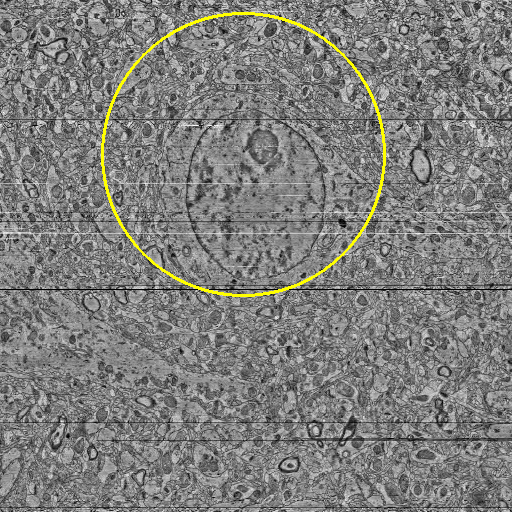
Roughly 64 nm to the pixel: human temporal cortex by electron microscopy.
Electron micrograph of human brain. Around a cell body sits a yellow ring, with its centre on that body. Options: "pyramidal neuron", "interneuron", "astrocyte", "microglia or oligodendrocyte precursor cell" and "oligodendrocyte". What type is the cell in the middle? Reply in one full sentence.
The cell sitting at the centre of the yellow ring is a pyramidal neuron.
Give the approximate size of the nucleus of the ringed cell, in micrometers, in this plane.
The ringed cell's nucleus is about 11 micrometres long and 9 micrometres wide in this plane.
